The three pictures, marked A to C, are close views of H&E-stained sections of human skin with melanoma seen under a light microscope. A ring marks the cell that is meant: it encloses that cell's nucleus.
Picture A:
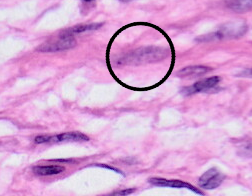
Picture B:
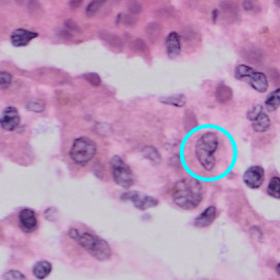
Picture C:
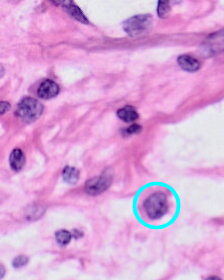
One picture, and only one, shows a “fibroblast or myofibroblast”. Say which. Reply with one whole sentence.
The cell in picture A is the “fibroblast or myofibroblast”.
